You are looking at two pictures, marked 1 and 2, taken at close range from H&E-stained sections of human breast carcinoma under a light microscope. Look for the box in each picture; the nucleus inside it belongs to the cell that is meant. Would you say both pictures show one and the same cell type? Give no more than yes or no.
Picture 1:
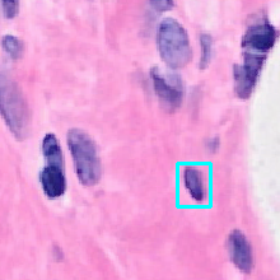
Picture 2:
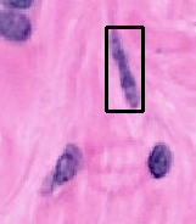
no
